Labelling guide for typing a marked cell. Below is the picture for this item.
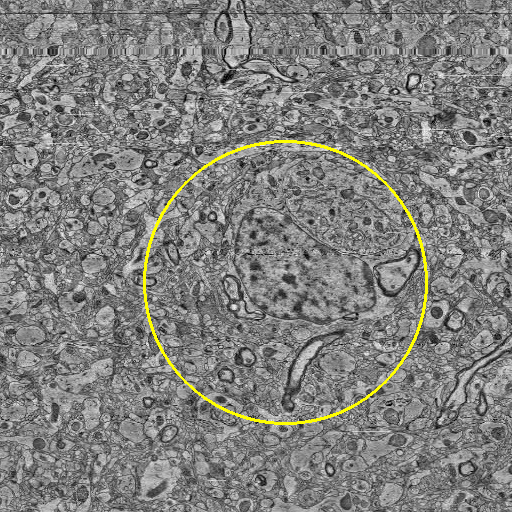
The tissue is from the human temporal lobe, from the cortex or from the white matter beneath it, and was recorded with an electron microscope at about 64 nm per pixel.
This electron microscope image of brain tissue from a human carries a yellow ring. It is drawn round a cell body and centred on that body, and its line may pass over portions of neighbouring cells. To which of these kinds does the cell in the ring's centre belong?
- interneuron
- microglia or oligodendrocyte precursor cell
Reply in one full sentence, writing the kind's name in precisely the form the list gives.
Here we have a microglial cell or oligodendrocyte precursor cell at the centre of the yellow ring in the picture.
